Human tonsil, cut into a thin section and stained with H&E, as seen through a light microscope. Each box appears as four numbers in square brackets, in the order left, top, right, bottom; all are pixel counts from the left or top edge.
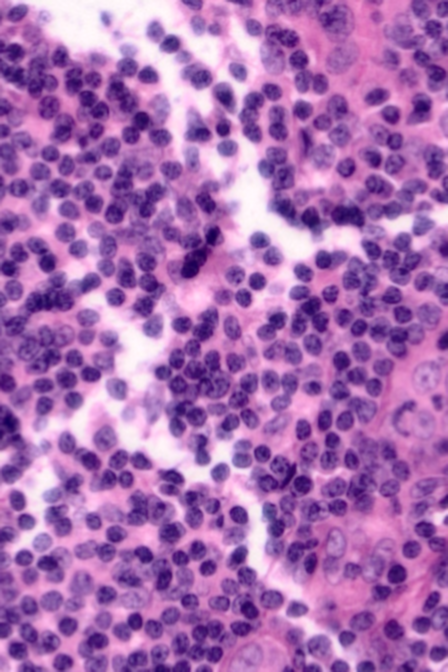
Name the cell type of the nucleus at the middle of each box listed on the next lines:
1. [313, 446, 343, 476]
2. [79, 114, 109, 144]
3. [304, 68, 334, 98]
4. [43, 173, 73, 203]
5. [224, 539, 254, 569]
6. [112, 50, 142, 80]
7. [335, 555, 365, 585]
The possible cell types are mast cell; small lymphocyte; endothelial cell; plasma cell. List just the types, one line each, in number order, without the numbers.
plasma cell
small lymphocyte
endothelial cell
small lymphocyte
small lymphocyte
small lymphocyte
endothelial cell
